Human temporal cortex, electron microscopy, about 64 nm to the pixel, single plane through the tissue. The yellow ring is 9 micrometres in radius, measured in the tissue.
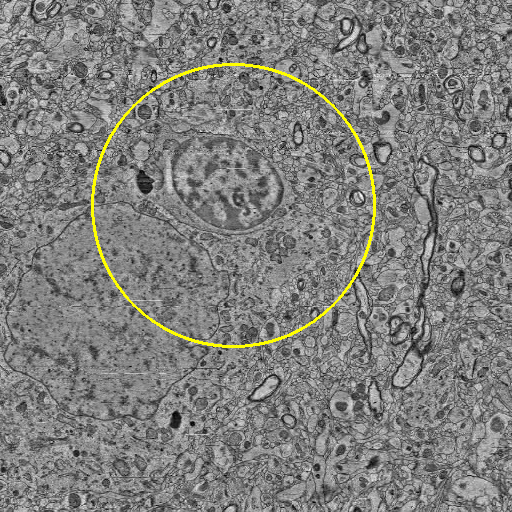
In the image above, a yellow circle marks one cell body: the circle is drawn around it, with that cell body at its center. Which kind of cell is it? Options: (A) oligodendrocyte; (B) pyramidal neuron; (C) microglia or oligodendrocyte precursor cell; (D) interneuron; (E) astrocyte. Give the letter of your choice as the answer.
A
